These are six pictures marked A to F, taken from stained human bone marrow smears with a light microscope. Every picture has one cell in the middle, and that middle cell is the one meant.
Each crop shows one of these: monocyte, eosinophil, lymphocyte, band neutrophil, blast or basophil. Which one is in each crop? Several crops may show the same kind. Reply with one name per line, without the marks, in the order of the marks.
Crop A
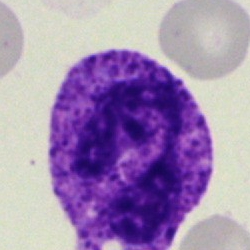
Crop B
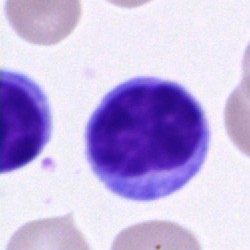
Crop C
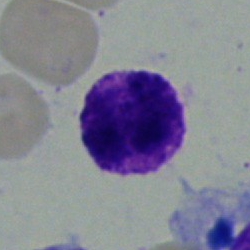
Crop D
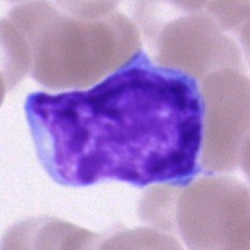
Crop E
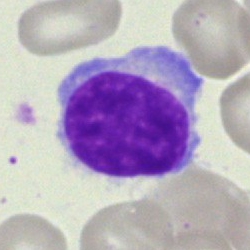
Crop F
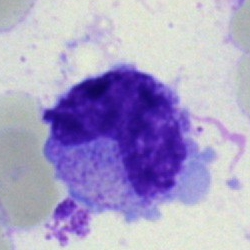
basophil
lymphocyte
basophil
blast
lymphocyte
monocyte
